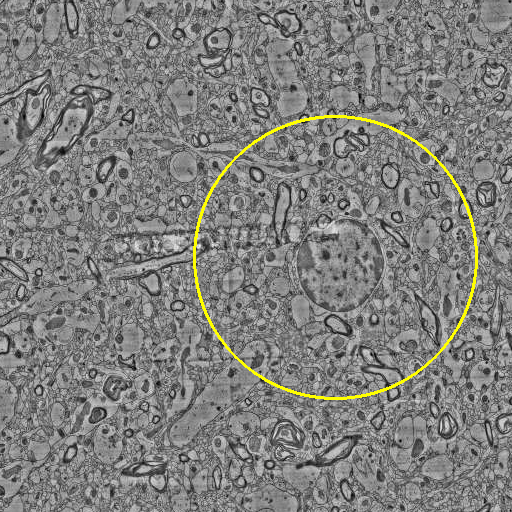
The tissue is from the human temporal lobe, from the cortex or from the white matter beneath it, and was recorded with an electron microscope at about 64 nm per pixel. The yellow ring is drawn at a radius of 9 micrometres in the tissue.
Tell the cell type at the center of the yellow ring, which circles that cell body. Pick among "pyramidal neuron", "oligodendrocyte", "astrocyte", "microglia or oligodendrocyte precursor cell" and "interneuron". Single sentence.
The ring is centered on the body of a microglial cell or oligodendrocyte precursor cell.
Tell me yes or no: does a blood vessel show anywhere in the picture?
No, none is visible.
